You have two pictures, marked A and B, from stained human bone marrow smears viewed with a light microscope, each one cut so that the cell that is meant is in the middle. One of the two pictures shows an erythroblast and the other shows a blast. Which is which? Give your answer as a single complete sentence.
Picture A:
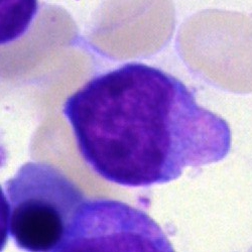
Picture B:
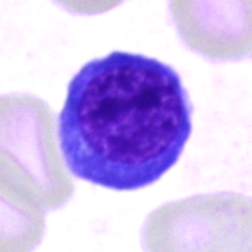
The cell in picture A is a blast, and the one in picture B is an erythroblast.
